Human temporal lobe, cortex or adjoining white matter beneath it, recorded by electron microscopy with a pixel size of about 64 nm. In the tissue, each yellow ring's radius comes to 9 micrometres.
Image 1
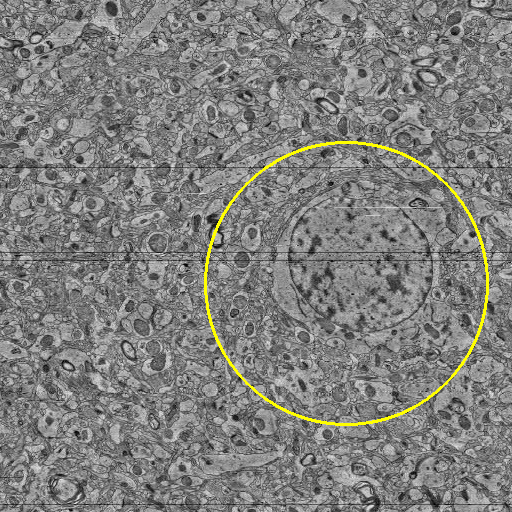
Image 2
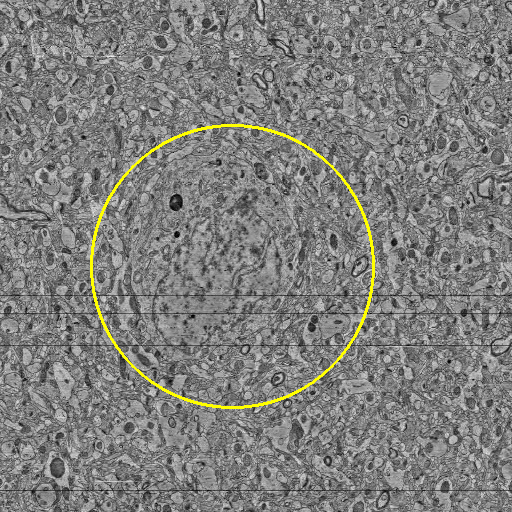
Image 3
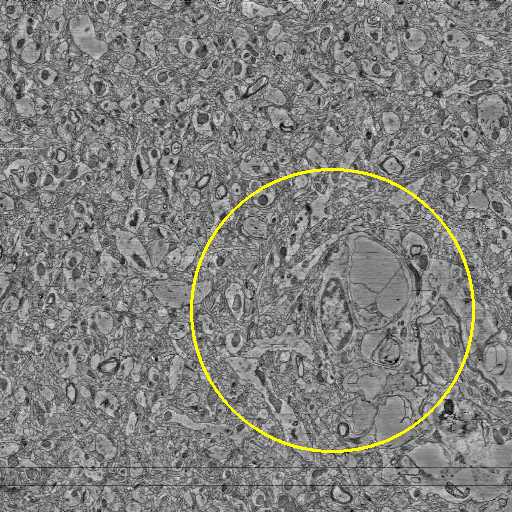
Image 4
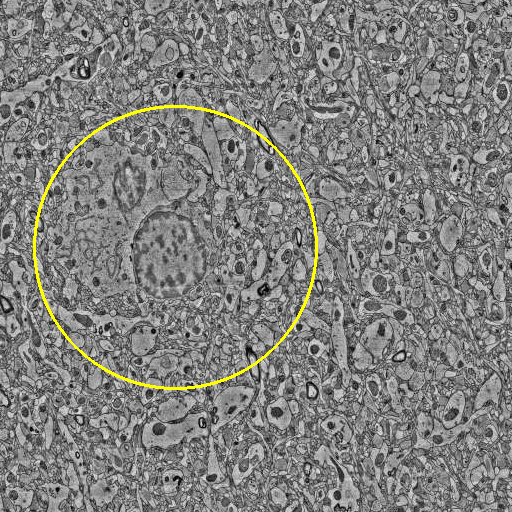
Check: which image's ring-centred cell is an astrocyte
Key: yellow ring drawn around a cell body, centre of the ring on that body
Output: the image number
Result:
1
